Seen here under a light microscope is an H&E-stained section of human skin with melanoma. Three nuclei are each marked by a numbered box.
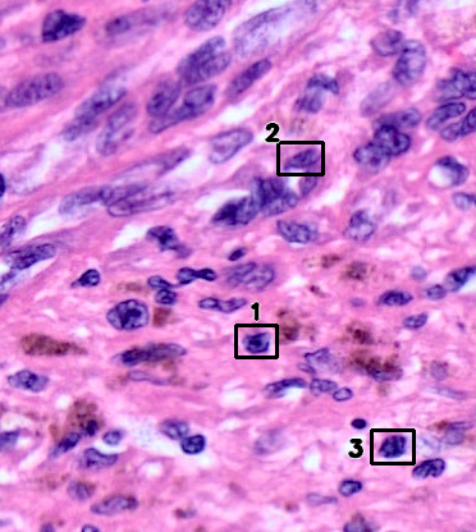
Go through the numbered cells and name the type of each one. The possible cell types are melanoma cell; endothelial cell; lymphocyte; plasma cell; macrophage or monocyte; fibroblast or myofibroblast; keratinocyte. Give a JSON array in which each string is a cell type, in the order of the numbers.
["lymphocyte", "melanoma cell", "lymphocyte"]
